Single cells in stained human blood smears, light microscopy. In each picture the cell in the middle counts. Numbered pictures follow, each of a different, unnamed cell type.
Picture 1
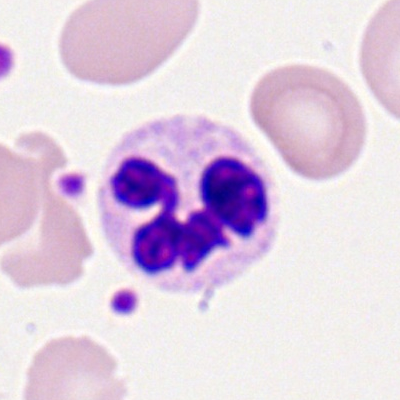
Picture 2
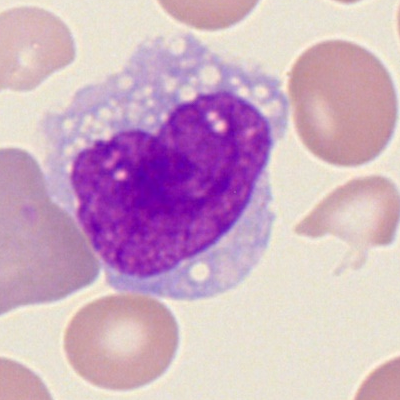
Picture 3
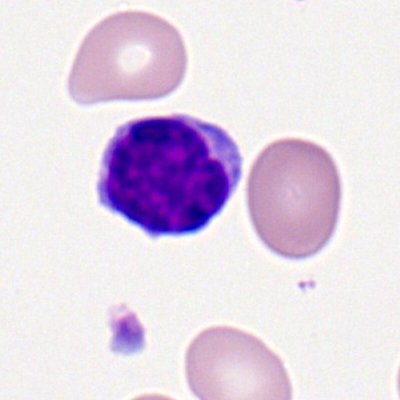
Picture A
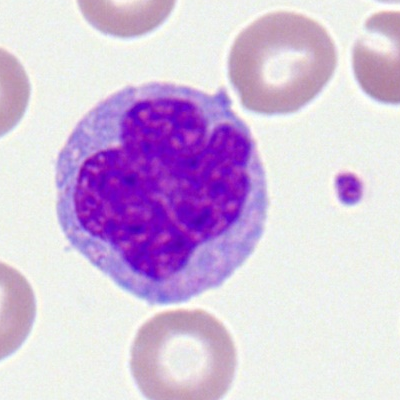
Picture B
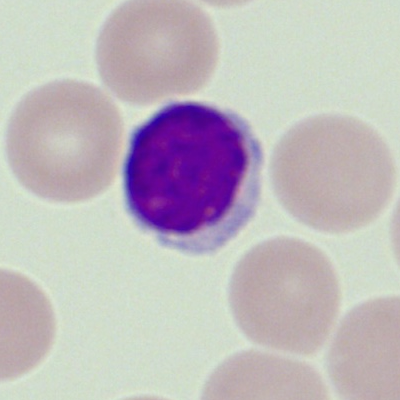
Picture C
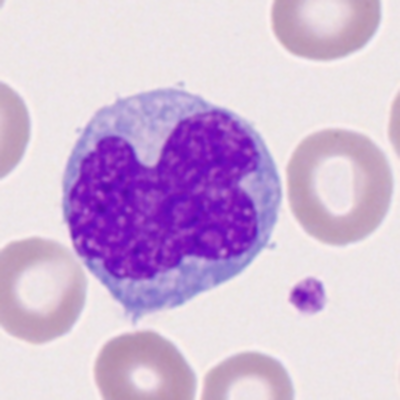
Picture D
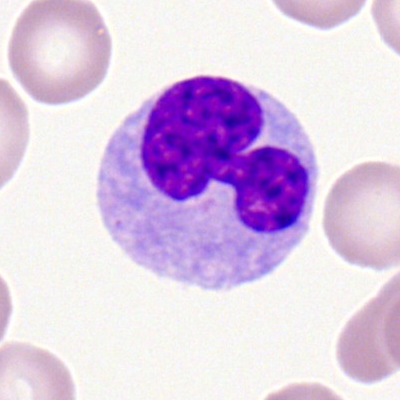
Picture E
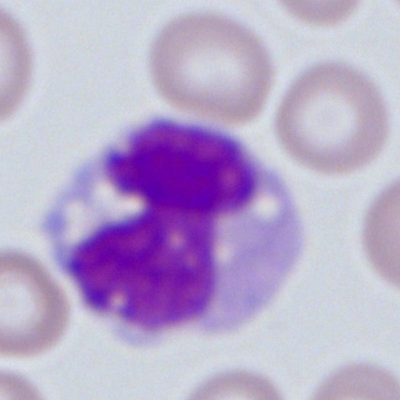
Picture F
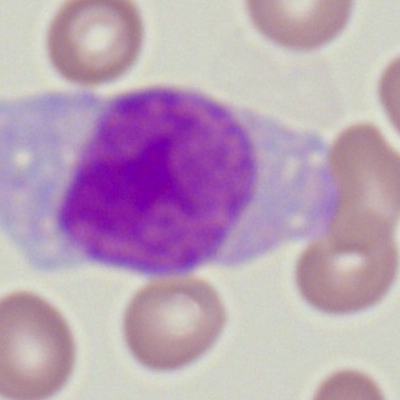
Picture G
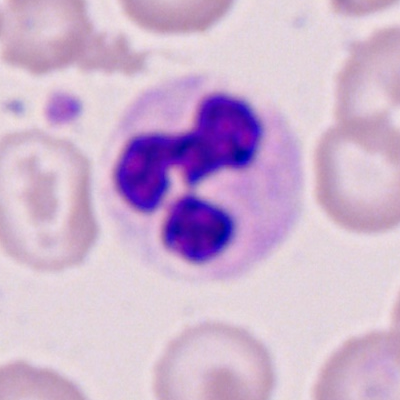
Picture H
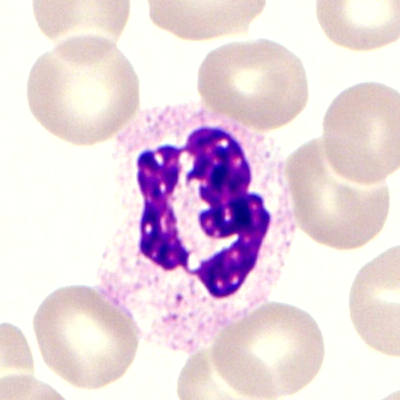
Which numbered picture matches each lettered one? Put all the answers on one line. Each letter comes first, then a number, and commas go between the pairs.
A 2, B 3, C 2, D 2, E 2, F 2, G 1, H 1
